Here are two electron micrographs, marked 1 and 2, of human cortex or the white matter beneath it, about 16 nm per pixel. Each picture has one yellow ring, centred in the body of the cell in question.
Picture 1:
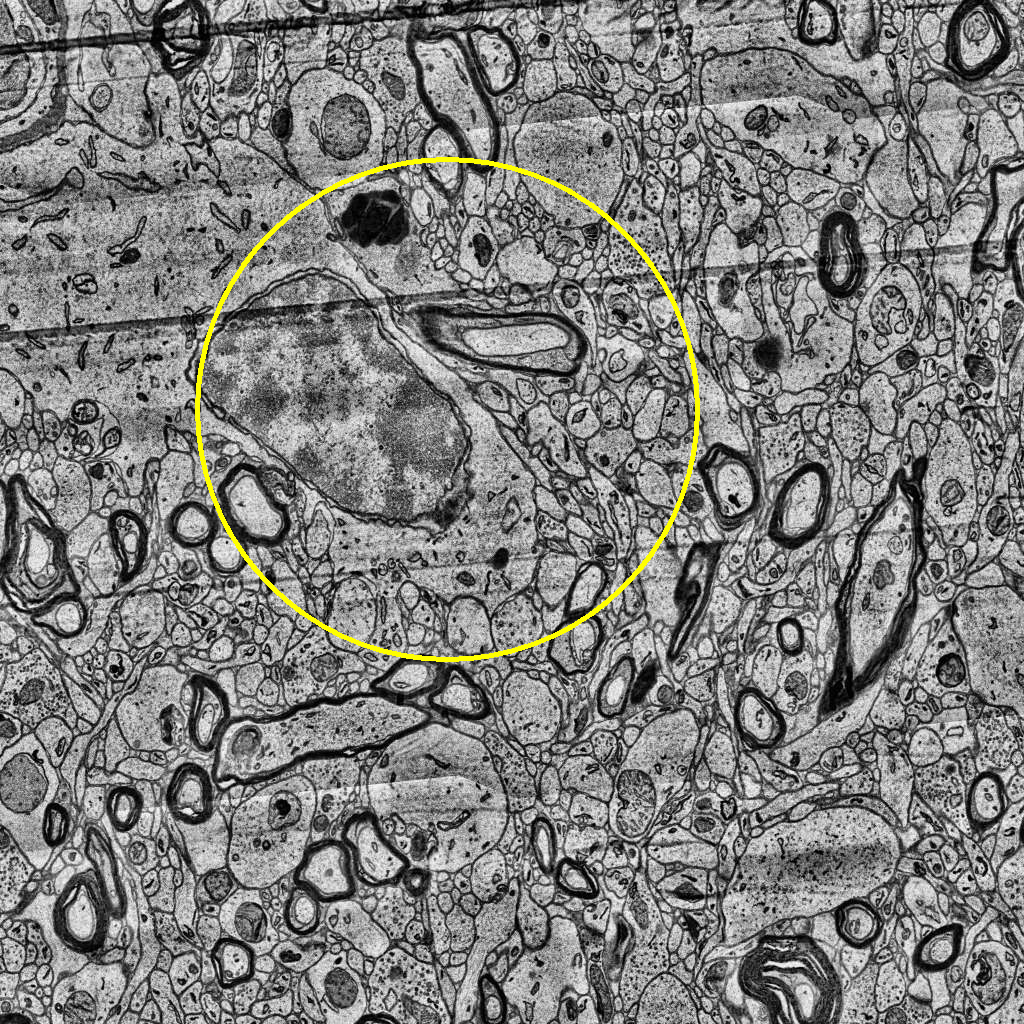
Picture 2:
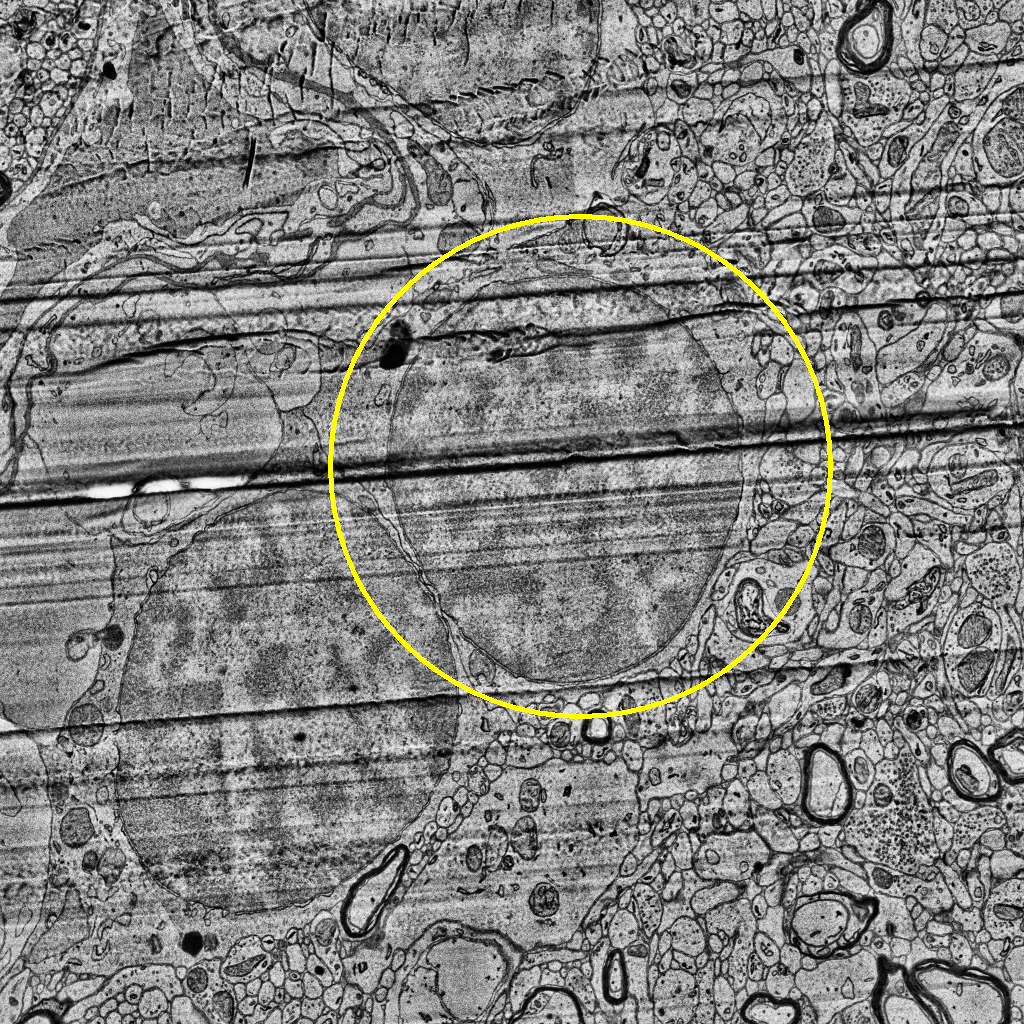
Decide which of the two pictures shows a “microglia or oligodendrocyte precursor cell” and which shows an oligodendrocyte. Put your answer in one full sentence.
Picture 1 shows a “microglia or oligodendrocyte precursor cell” and picture 2 shows an oligodendrocyte.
